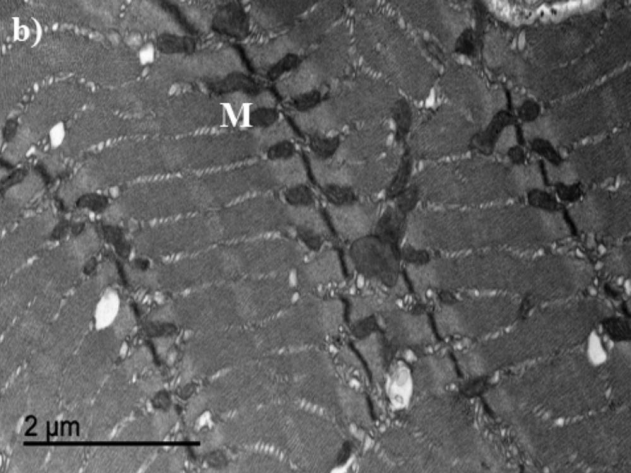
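This is skeletal muscle fiber cut along its length, showing parallel myofibrils striped by repeating sarcomeres. Thin dark transverse lines cross the myofibrils at regular intervals, and along them lie small, dark, oval mitochondria arranged in neat rows, often in pairs on either side of a line. Between the myofibrils run narrow pale channels, and a few small clear vacuoles are scattered among them. Overall the contractile apparatus is orderly, with the striations well aligned across neighbouring myofibrils.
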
